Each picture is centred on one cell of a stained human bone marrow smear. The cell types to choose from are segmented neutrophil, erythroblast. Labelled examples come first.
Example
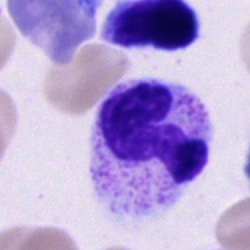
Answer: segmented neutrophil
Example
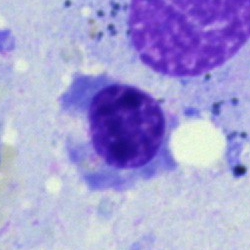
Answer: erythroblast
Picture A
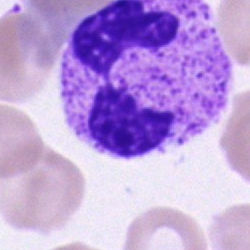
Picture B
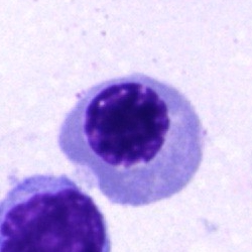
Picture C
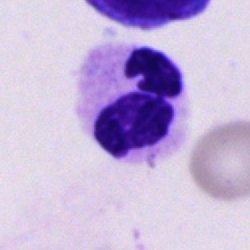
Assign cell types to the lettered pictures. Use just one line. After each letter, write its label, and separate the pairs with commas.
A segmented neutrophil, B erythroblast, C segmented neutrophil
